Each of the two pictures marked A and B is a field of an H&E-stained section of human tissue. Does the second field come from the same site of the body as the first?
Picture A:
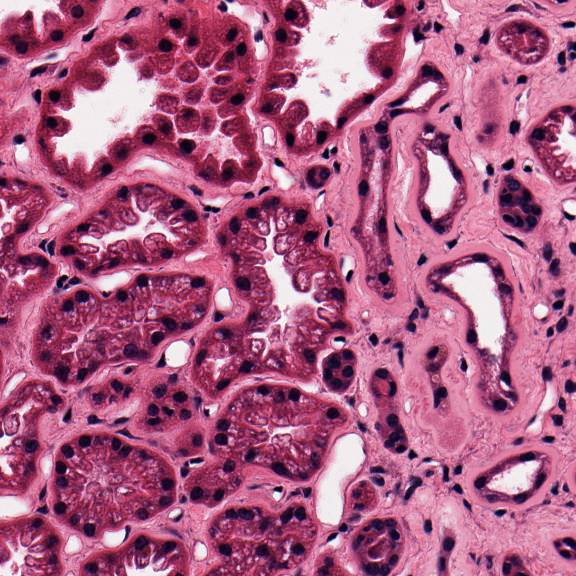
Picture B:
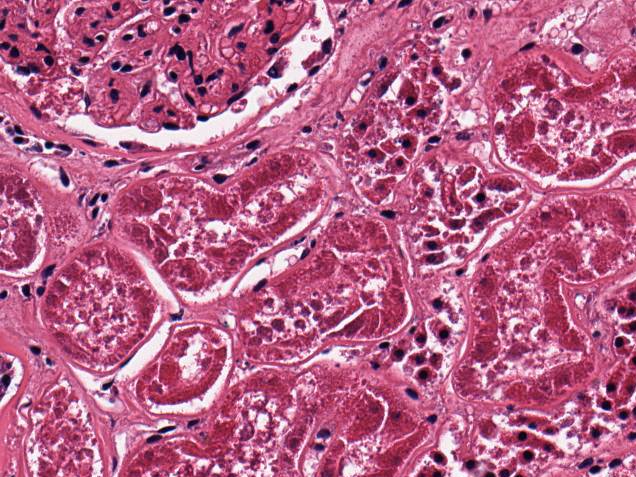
yes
